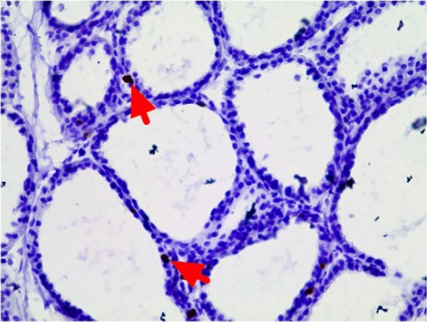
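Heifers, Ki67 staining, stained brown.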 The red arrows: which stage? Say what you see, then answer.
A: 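Proliferating cells. Each red arrow points at a single nucleus stained dark brown. The surrounding nuclei are blue-purple only.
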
